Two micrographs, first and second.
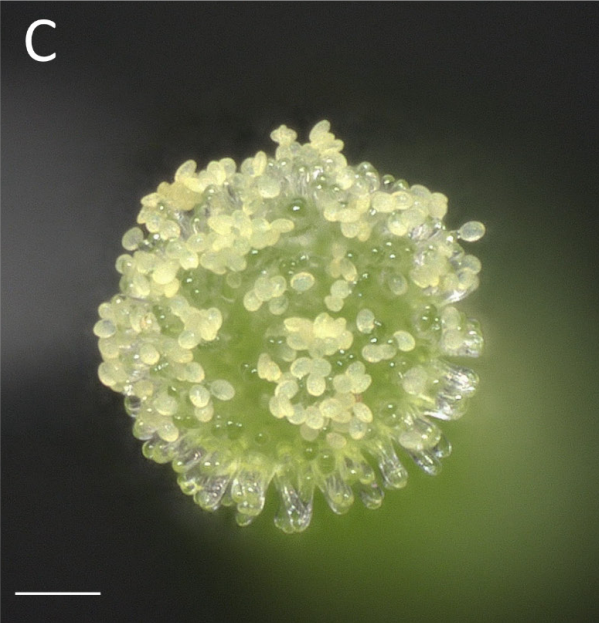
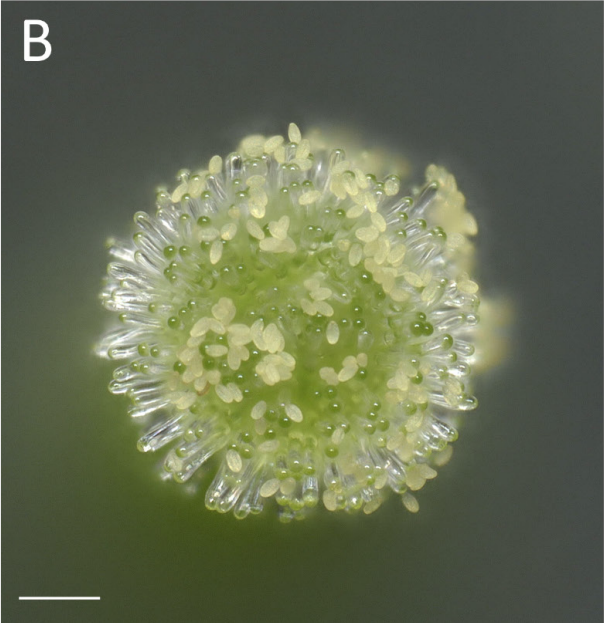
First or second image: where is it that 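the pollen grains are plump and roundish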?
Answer: The first image.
